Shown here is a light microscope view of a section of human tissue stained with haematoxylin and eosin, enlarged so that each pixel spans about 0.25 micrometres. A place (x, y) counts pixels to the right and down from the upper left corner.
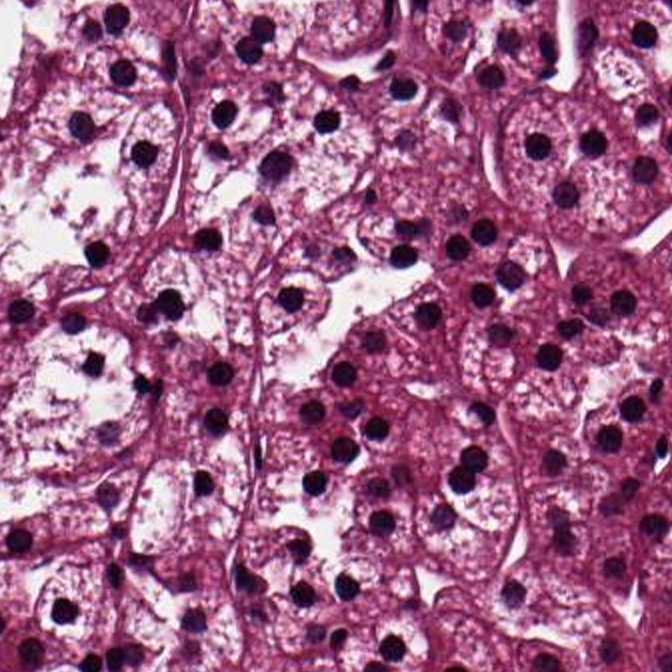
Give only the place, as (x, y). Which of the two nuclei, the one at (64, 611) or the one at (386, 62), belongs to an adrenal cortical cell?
(64, 611)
